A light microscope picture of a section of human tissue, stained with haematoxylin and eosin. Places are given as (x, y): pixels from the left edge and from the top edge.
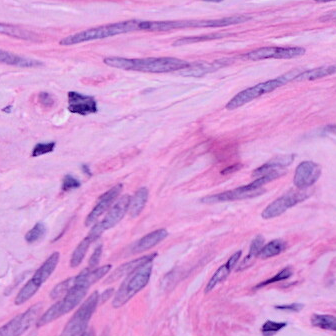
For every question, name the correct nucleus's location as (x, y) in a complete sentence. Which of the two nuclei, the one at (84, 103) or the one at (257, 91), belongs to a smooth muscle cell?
Between the pair, the nucleus at (257, 91) belongs to a smooth muscle cell.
